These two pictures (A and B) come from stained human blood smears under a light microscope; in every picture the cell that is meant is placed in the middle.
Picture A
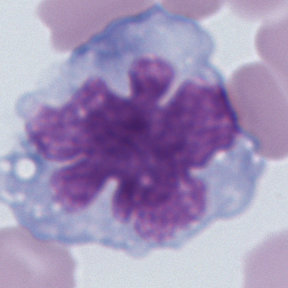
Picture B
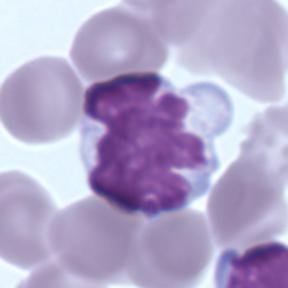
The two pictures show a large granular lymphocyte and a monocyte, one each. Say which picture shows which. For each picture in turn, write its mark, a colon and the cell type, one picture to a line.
A: monocyte
B: large granular lymphocyte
